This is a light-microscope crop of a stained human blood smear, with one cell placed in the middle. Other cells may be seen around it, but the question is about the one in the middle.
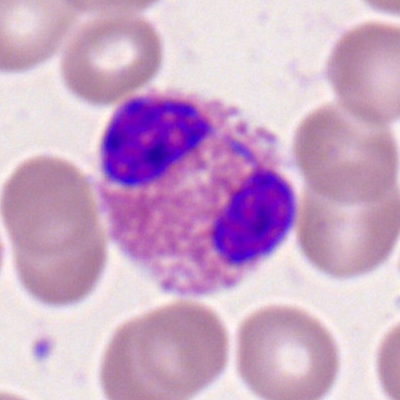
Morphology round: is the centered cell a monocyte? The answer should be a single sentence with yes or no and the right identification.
No, the cell in the centre is an eosinophil instead of a monocyte.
